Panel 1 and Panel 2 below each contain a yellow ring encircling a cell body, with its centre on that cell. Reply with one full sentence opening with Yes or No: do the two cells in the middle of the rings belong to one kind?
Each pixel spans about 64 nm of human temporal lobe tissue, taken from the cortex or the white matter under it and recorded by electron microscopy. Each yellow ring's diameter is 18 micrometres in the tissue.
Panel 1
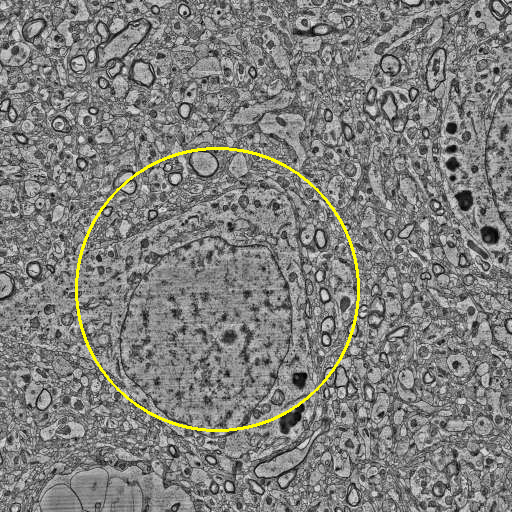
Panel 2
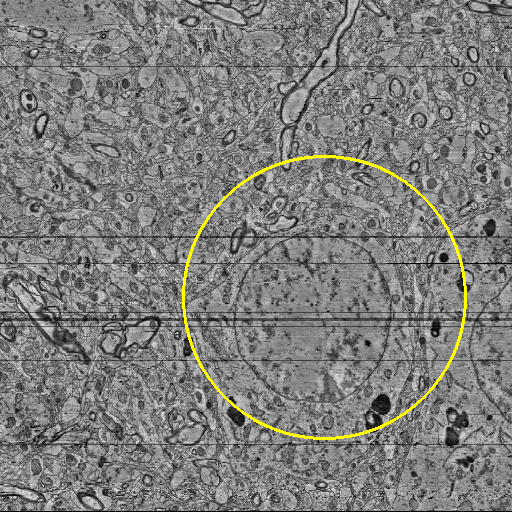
Yes, the cells at the middle of the Panel 1 ring and the Panel 2 ring are of one kind.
